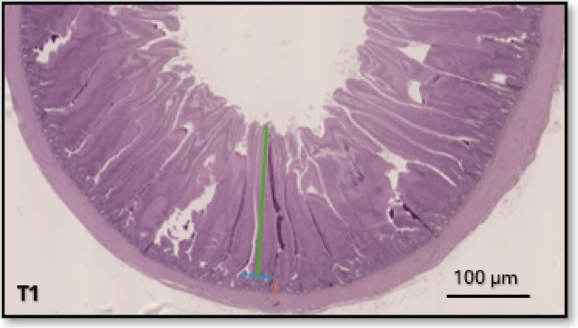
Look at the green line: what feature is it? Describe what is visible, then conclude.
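The green line runs along one long, slender finger-like projection of the mucosa. The projection extends from near the outer wall toward the central lumen. Many similar parallel projections radiate around the lumen. The answer: villus.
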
